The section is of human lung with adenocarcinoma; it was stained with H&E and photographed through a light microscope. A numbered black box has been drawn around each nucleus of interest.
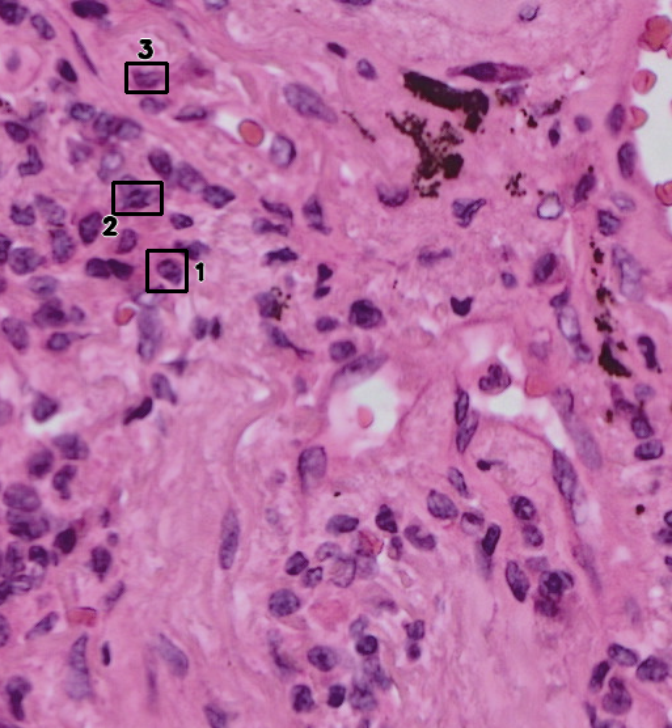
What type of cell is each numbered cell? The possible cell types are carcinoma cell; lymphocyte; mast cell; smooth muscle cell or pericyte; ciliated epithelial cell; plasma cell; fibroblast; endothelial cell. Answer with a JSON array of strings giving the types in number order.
["lymphocyte", "plasma cell", "plasma cell"]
